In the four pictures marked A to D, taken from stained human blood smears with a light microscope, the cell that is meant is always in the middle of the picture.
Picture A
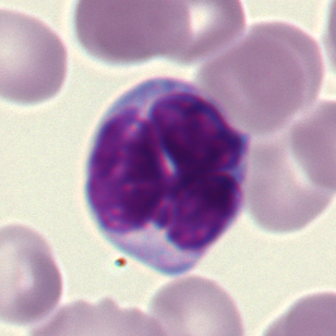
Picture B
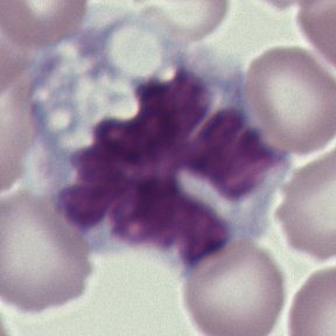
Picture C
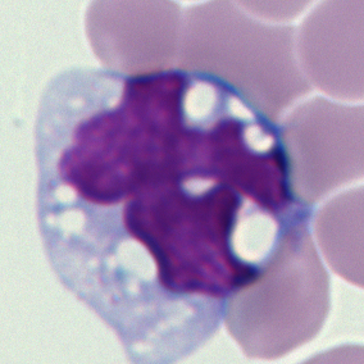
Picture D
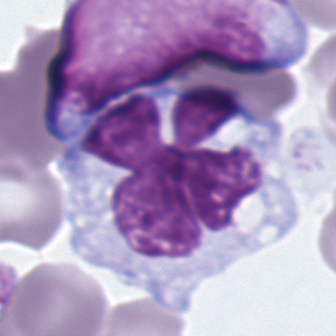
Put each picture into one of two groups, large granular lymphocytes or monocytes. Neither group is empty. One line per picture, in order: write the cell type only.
large granular lymphocyte
monocyte
monocyte
monocyte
